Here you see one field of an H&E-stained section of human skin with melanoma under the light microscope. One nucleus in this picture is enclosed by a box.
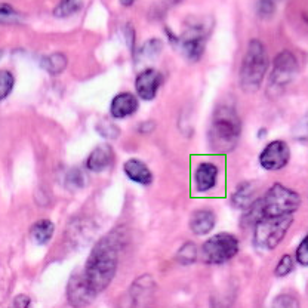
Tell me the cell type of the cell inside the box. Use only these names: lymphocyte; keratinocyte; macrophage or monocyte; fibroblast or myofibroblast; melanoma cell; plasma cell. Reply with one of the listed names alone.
lymphocyte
